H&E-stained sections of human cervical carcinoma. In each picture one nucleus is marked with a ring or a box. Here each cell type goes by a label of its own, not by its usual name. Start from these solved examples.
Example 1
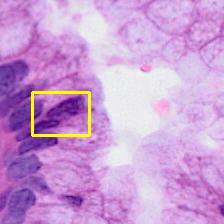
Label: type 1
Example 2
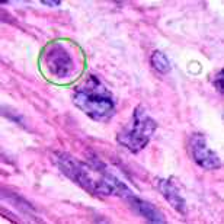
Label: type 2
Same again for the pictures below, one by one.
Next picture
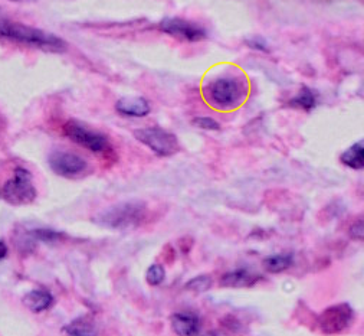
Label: type 2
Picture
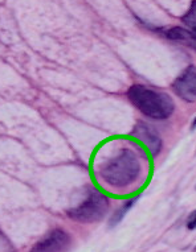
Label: type 1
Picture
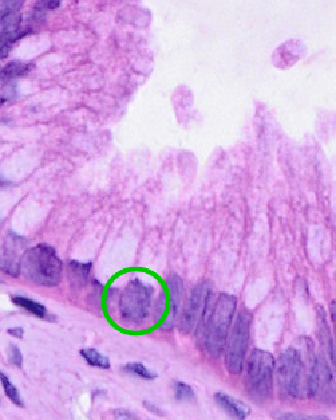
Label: type 1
